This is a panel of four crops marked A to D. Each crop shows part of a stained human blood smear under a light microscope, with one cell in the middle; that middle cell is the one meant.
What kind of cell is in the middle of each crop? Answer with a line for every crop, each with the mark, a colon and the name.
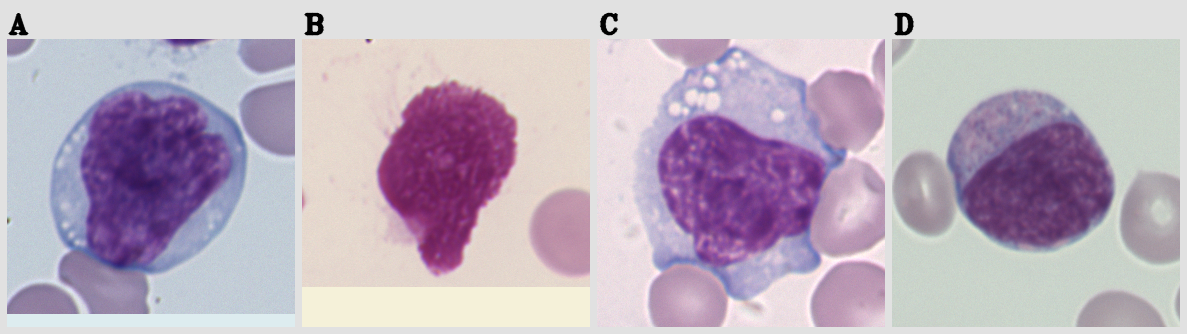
A: myeloblast
B: smudge cell
C: myeloblast
D: atypical promyelocyte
